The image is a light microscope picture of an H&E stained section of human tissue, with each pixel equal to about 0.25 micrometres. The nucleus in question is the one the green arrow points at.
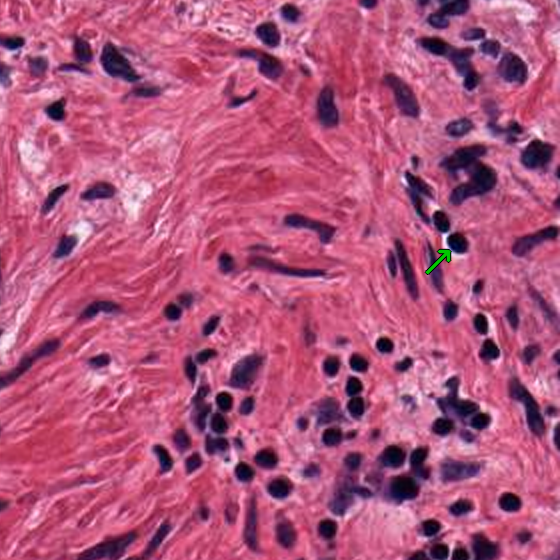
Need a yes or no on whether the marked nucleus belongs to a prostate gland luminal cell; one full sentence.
No, the marked nucleus does not belong to a prostate gland luminal cell; it belongs to a supporting cell.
